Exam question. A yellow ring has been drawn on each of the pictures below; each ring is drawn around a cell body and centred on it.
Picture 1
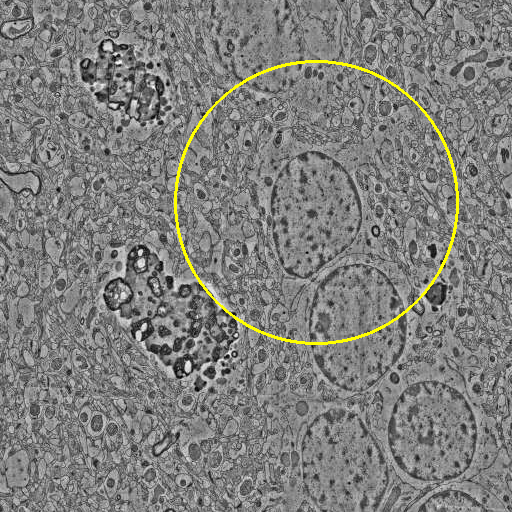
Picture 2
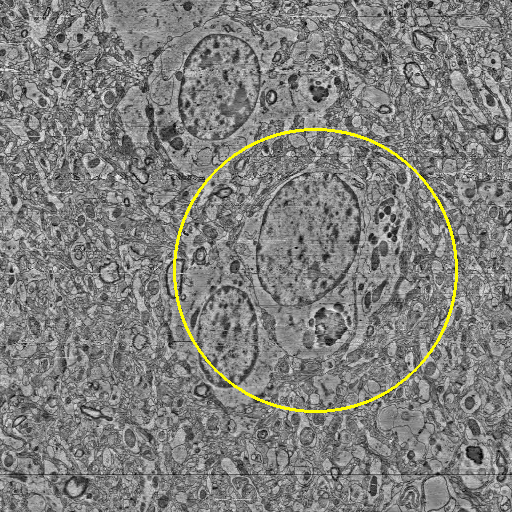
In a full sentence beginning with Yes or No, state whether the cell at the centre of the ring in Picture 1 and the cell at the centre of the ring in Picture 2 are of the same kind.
Yes, the two cells are of the same kind.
